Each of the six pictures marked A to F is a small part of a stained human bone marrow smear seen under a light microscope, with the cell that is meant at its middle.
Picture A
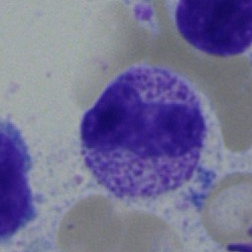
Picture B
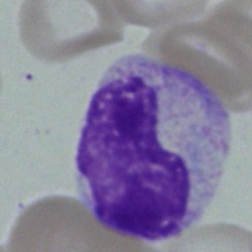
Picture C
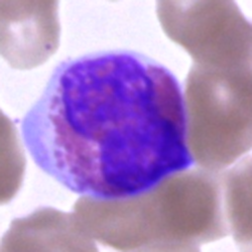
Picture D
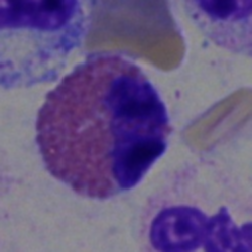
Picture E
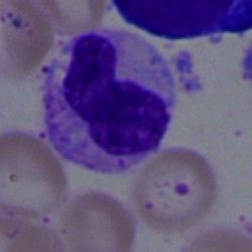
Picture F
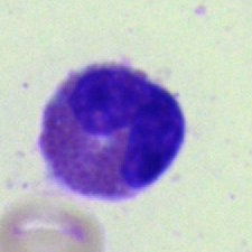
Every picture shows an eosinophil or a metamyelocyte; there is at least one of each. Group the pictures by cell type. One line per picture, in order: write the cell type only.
metamyelocyte
metamyelocyte
eosinophil
eosinophil
metamyelocyte
eosinophil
